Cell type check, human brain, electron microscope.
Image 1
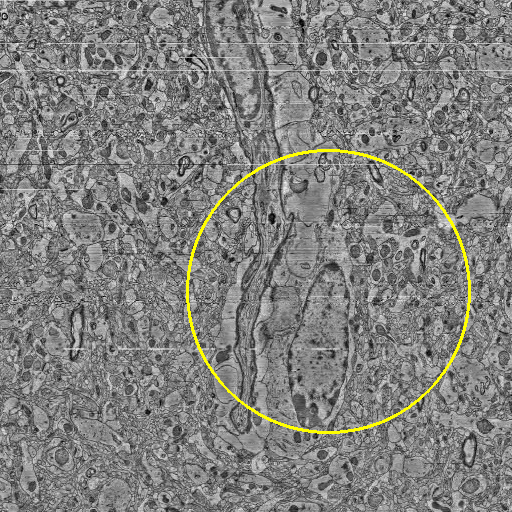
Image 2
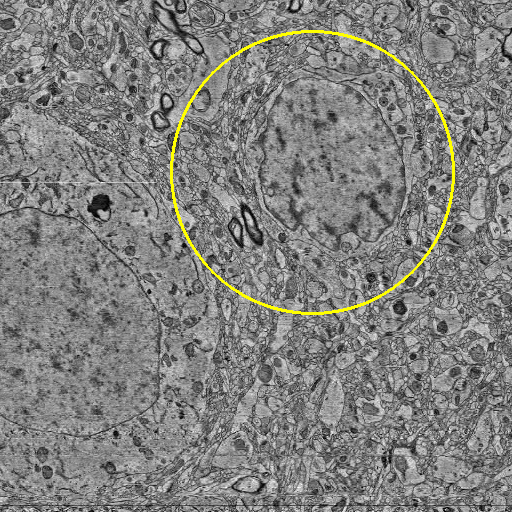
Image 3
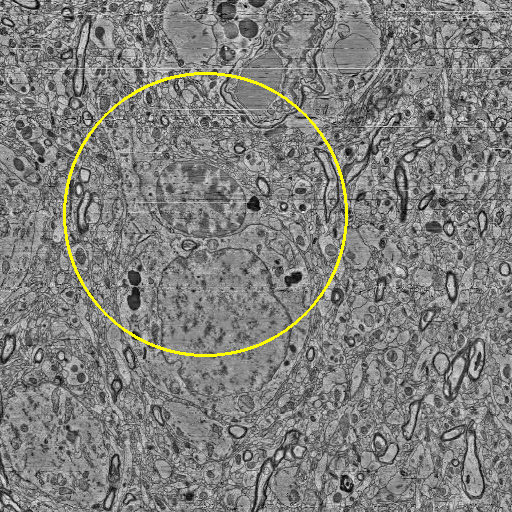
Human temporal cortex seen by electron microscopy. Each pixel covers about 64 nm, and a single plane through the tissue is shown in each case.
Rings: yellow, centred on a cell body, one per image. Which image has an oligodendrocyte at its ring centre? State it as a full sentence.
The ring in Image 3 is centred on it.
